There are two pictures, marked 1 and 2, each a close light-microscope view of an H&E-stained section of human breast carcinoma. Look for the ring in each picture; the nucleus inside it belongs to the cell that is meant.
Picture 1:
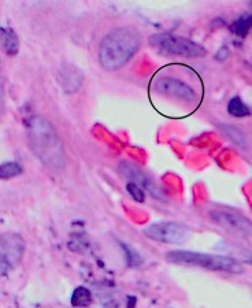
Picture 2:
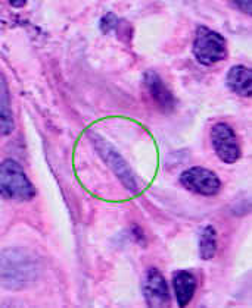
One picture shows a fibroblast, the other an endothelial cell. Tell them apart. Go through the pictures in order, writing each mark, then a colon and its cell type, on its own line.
1: endothelial cell
2: fibroblast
